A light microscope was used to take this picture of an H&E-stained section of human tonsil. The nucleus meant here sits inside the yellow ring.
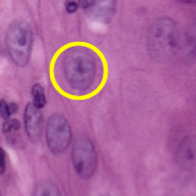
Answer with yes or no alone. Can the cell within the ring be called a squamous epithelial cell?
yes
